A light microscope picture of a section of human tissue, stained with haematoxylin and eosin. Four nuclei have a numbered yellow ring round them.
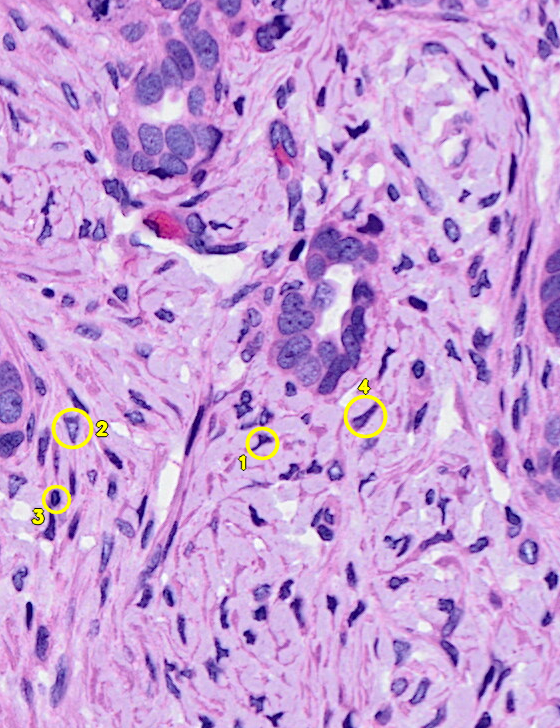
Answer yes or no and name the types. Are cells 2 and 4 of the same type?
Yes, both cells, 2 and 4, are fibroblasts.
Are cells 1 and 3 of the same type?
No, cell 1 is categorized as a fibroblast, while cell 3 is categorized as a lymphocyte.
